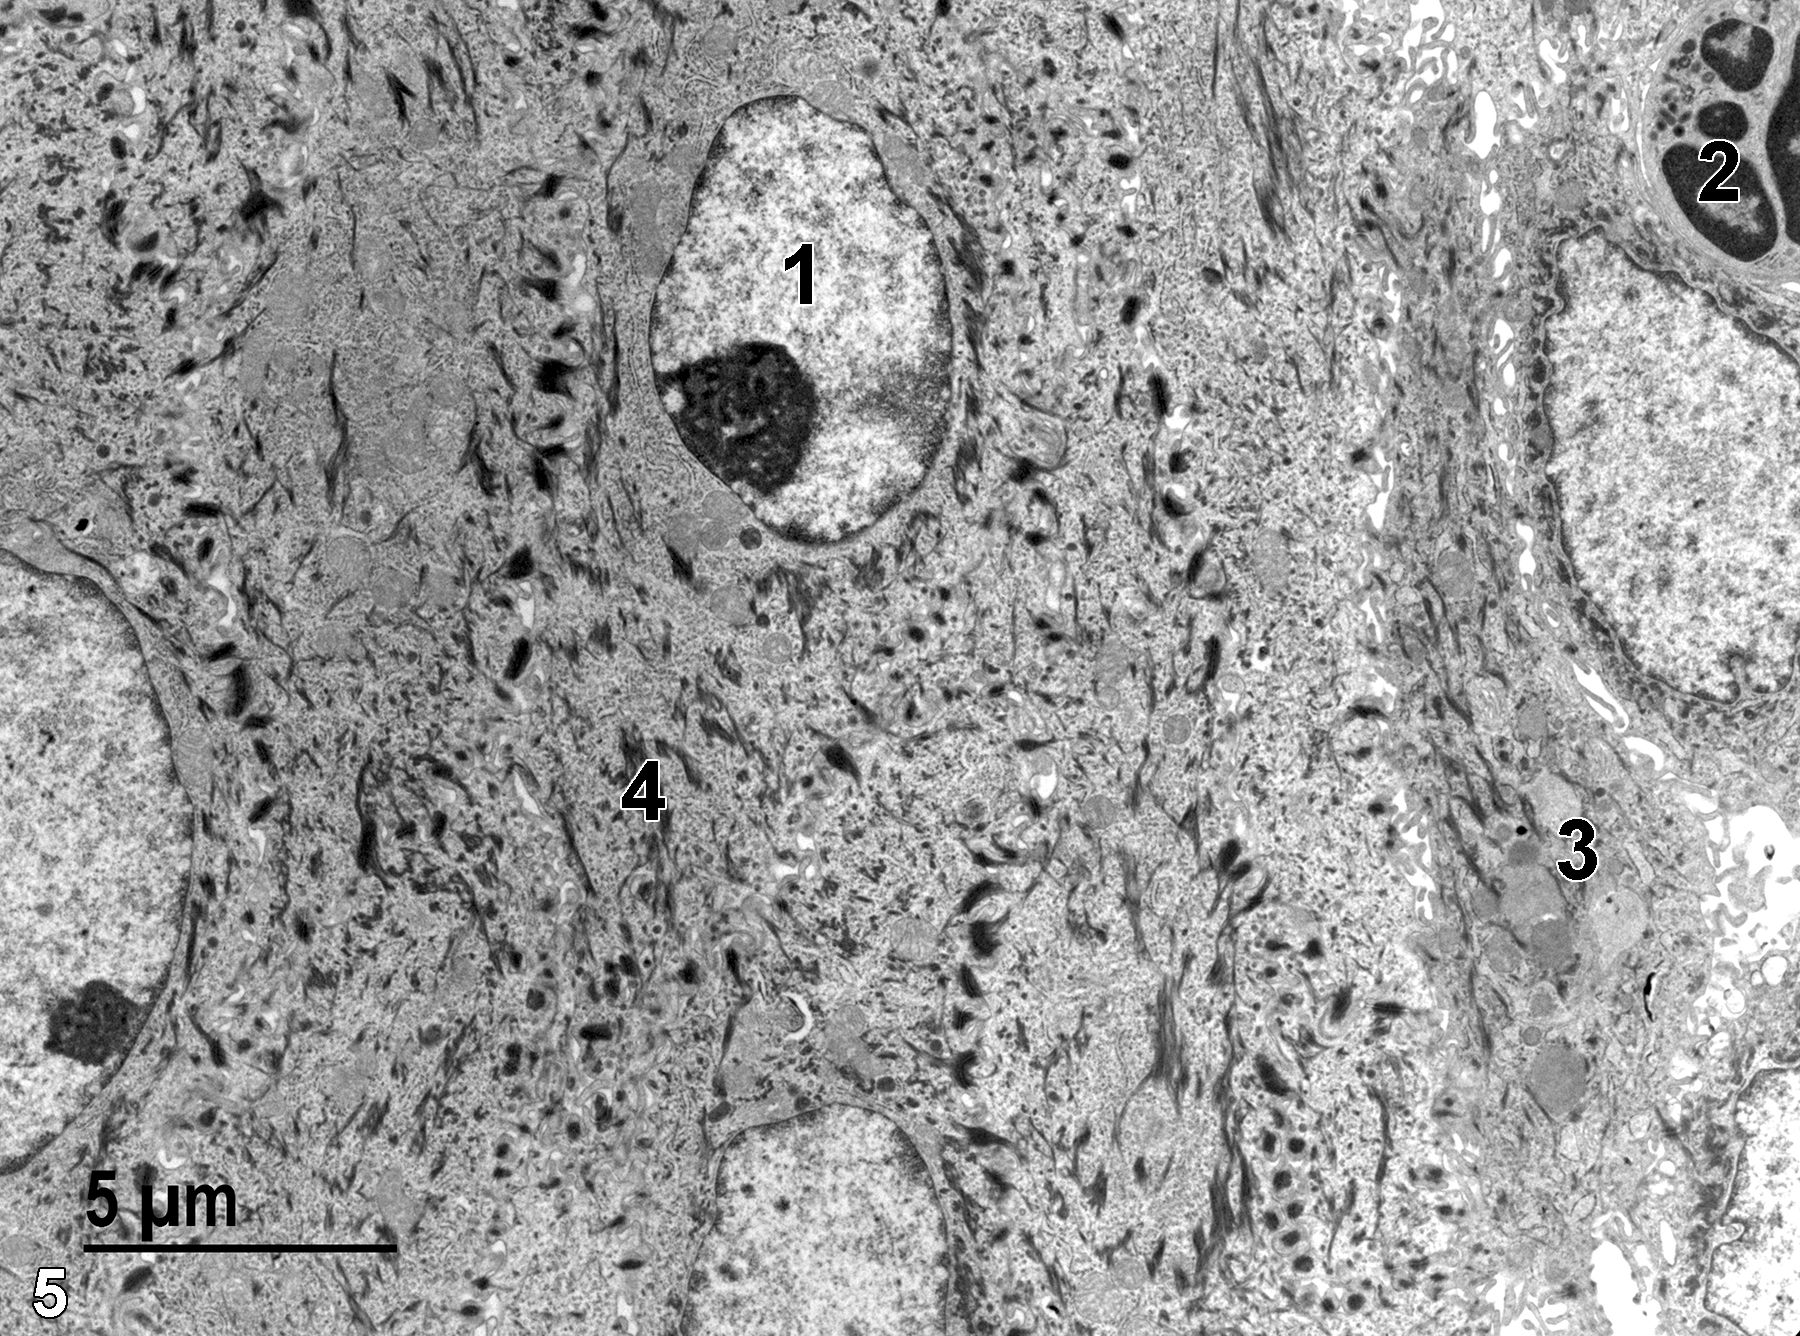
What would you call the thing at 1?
nucleus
